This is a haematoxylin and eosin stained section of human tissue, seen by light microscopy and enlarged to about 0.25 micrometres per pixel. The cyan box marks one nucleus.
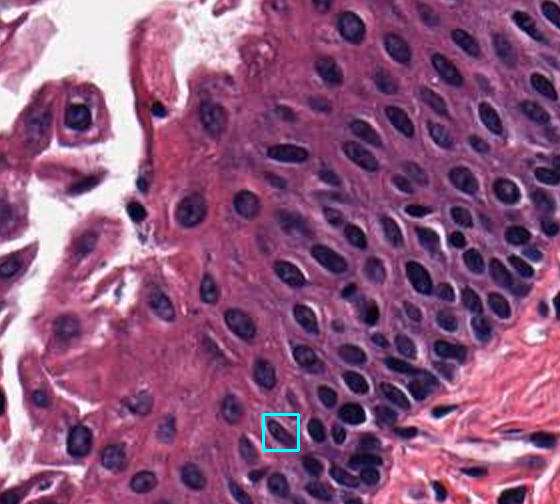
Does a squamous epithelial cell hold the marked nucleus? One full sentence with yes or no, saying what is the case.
Yes, the marked nucleus is a part of a squamous epithelial cell.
